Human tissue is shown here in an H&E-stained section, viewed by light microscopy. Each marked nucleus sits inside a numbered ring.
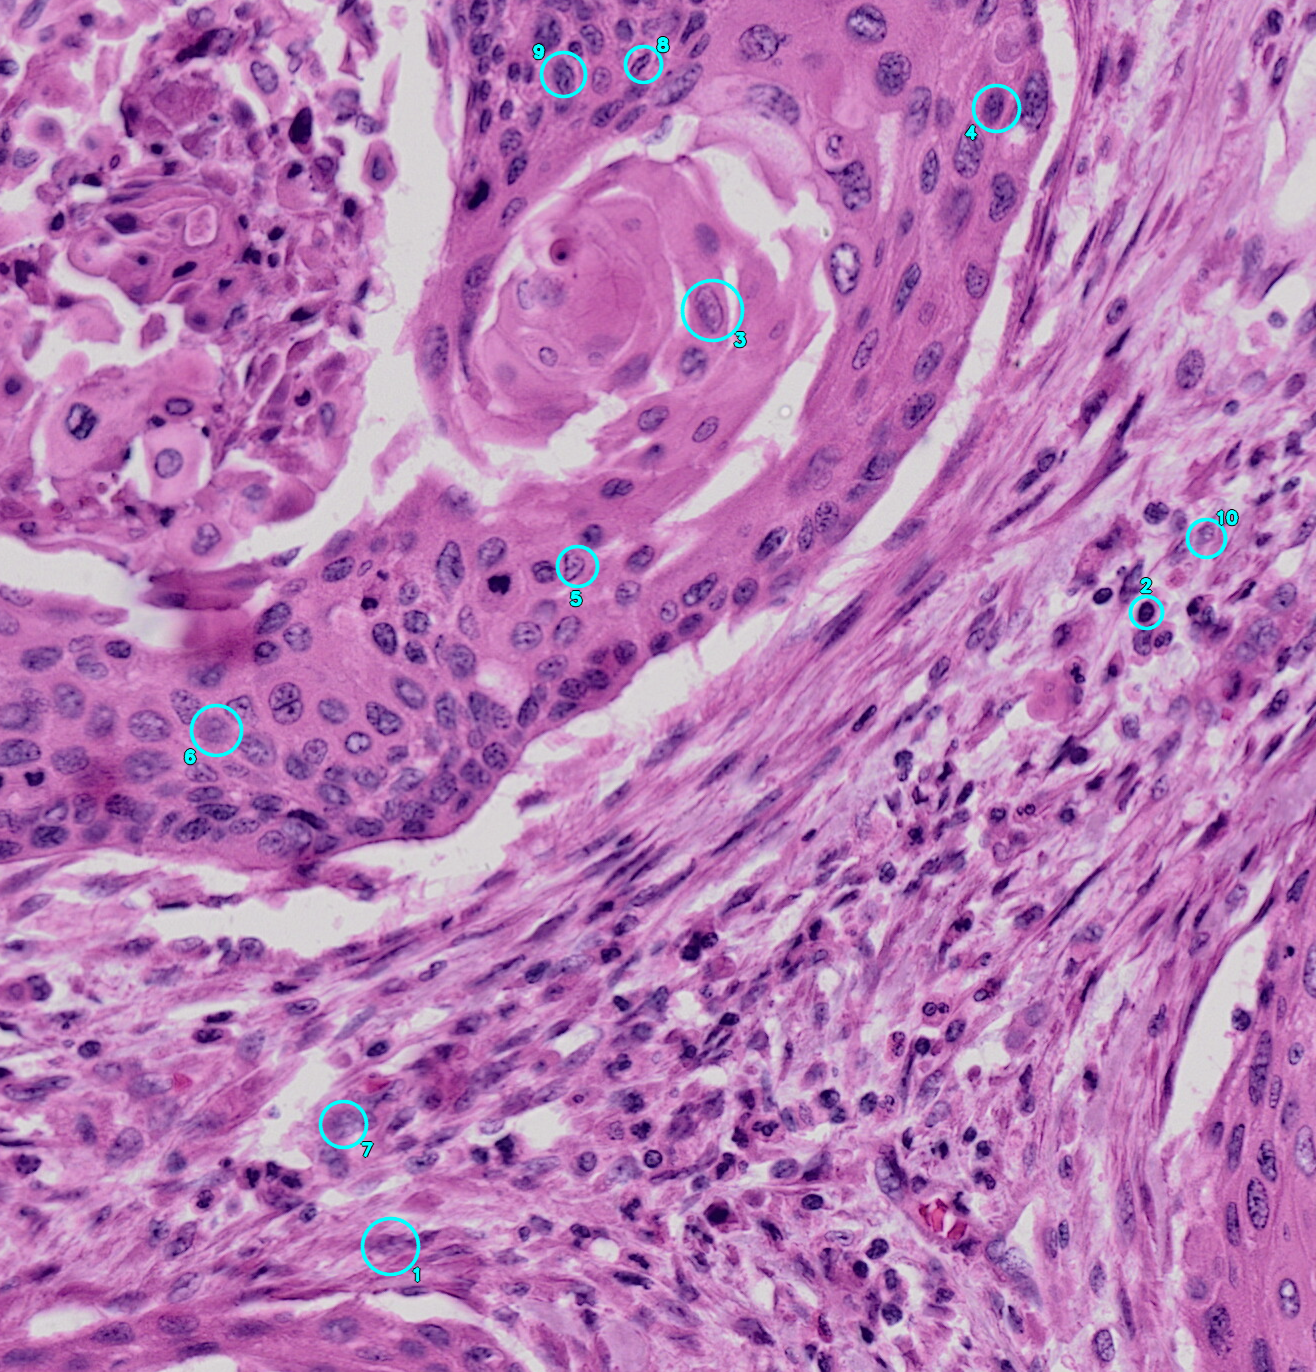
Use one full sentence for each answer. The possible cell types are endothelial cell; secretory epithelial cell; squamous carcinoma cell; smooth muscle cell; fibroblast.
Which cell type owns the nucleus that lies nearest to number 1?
It is a fibroblast whose nucleus is nearest to number 1.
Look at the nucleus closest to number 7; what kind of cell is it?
The nearest nucleus to number 7 belongs to an endothelial cell.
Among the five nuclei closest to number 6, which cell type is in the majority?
Squamous carcinoma cells make up most of the five nuclei closest to number 6.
